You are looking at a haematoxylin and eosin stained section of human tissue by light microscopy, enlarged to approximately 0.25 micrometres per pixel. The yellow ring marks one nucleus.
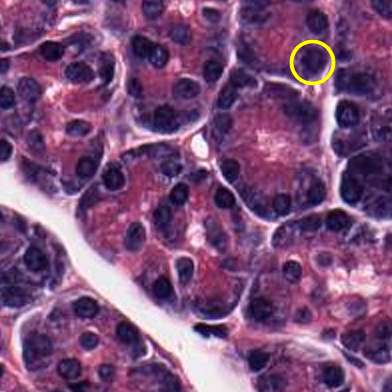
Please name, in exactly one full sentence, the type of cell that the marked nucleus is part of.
It is a pancreatic acinar cell that the marked nucleus belongs to.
